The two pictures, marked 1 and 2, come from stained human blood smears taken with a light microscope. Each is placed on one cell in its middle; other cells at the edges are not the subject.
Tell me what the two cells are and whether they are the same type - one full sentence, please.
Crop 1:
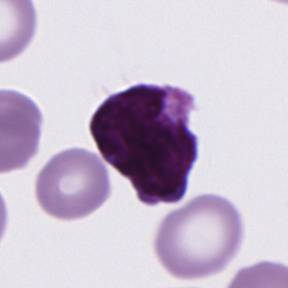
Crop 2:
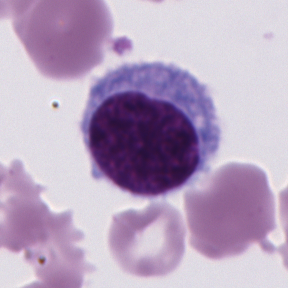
No, crop 1 shows a myeloblast and crop 2 shows a hairy cell.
